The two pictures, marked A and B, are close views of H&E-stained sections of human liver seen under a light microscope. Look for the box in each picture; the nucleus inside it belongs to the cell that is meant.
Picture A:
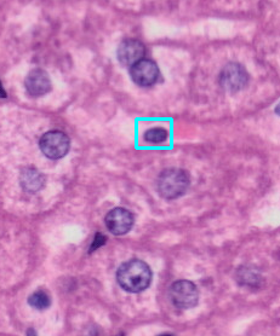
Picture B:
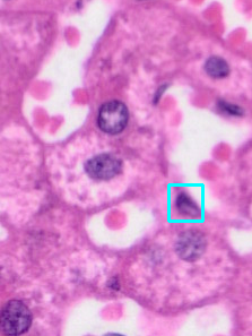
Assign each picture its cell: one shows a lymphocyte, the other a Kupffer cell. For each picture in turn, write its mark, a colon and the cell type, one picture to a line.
A: lymphocyte
B: Kupffer cell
